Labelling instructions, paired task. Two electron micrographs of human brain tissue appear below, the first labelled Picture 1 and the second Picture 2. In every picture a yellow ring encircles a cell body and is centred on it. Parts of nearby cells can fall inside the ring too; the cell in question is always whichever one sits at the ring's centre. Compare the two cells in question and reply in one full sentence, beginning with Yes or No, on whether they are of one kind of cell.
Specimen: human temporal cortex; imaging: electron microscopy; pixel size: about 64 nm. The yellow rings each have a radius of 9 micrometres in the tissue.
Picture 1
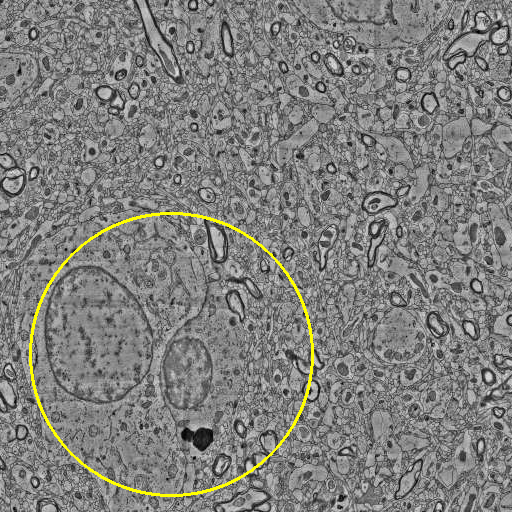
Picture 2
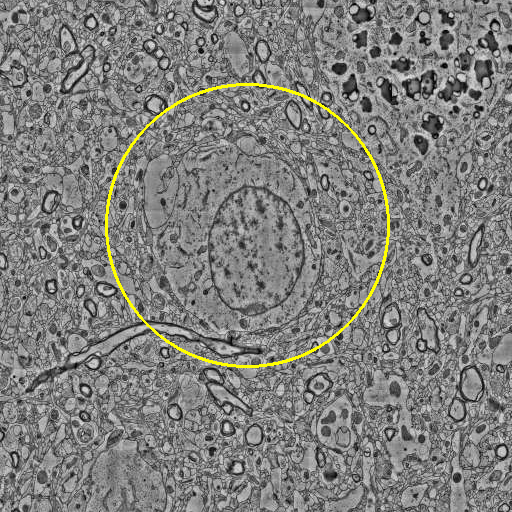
No, the two cells at the ring centres in Picture 1 and Picture 2 are of two kinds.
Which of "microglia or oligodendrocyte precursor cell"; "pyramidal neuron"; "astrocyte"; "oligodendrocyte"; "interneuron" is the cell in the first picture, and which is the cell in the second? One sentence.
The two differ: the first cell is an oligodendrocyte and the second is a pyramidal neuron.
